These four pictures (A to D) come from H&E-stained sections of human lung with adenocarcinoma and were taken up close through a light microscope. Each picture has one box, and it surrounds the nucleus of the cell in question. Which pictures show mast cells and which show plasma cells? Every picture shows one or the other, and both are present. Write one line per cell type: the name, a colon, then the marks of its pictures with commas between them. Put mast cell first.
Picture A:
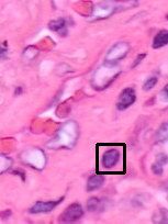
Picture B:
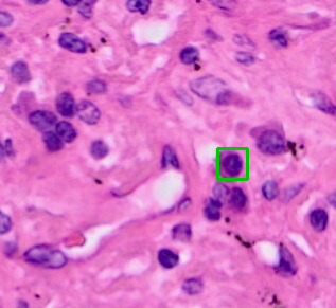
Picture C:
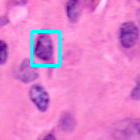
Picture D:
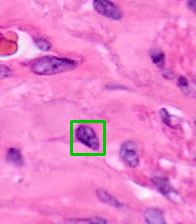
mast cell: A, D
plasma cell: B, C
